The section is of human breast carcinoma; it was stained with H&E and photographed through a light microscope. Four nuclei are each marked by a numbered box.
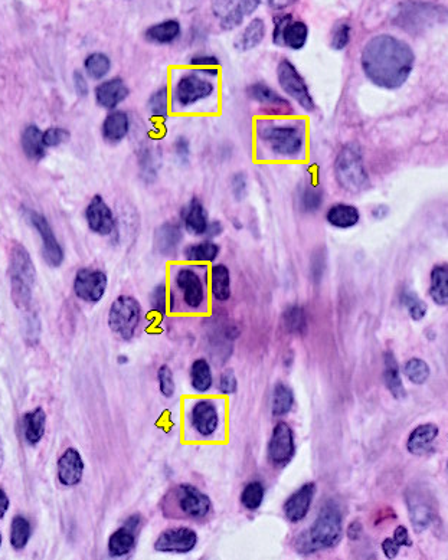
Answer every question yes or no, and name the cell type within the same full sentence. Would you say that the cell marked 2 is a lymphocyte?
Yes, the marked cell with number 2 is a lymphocyte.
